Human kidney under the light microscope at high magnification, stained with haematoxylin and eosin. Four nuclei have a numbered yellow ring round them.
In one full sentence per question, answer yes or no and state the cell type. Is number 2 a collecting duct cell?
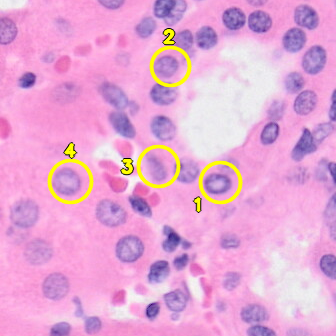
Yes, it checks out; the cell labelled 2 is a collecting duct cell.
